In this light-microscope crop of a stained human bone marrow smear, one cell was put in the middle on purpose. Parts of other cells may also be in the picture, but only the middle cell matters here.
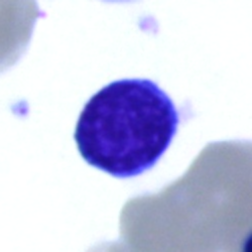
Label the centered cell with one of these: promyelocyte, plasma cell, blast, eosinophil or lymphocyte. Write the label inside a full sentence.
The cell around which this crop is centred is a lymphocyte.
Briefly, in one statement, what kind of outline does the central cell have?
There are no projections here; the outline is simply smooth.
